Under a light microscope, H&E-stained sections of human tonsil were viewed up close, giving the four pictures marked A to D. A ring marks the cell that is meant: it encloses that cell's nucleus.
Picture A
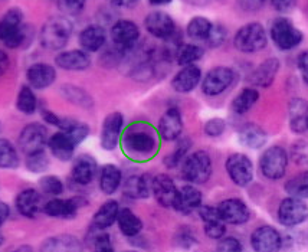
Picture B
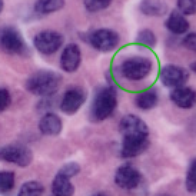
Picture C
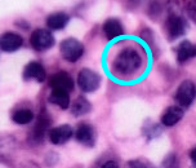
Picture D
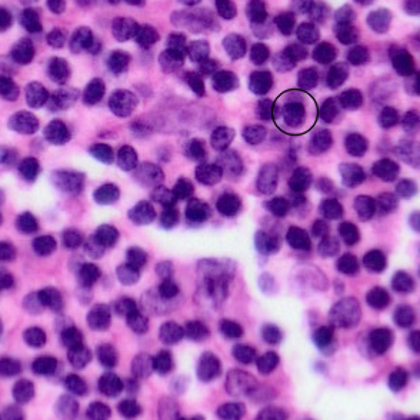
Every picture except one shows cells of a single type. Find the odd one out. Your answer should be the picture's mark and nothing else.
D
